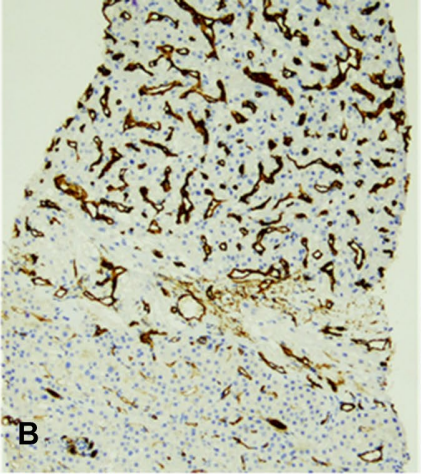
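In the upper half, brown lines outline a dense network of small and medium vessels, many with odd, branching or angular shapes, and many tiny round ones as well. Between them lie unstained tumor cells with blue nuclei, which look rounder and more epithelioid than spindle-shaped. In the lower half, the regular liver tissue shows fewer, thinner brown-lined vessels running between the plates of liver cells.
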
